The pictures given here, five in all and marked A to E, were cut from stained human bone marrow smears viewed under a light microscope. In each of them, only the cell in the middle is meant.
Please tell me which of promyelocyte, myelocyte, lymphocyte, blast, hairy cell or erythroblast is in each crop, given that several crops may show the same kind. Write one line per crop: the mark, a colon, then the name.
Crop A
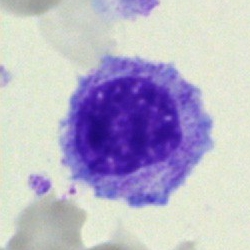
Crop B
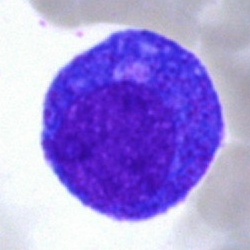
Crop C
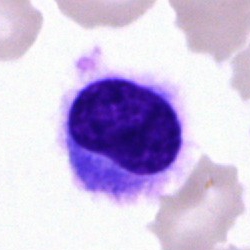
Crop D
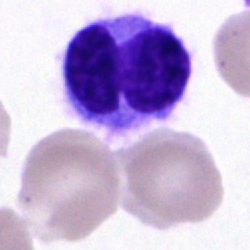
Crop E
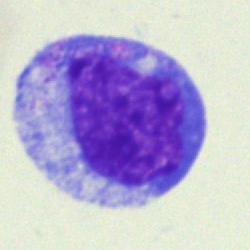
A: myelocyte
B: promyelocyte
C: hairy cell
D: lymphocyte
E: promyelocyte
